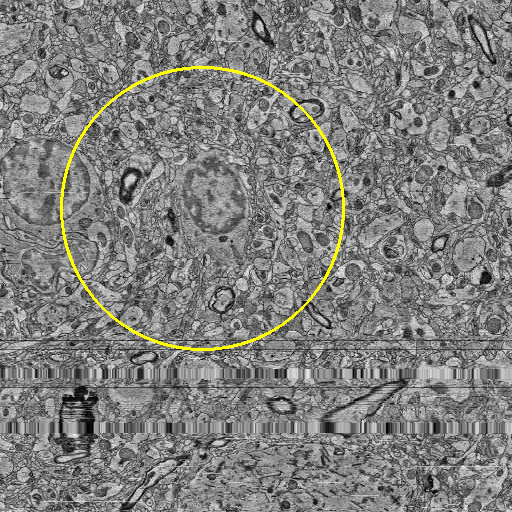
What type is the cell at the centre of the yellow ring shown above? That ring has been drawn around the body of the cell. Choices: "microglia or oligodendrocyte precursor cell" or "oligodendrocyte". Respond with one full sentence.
My answer is that an oligodendrocyte lies at the centre of the yellow ring above.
